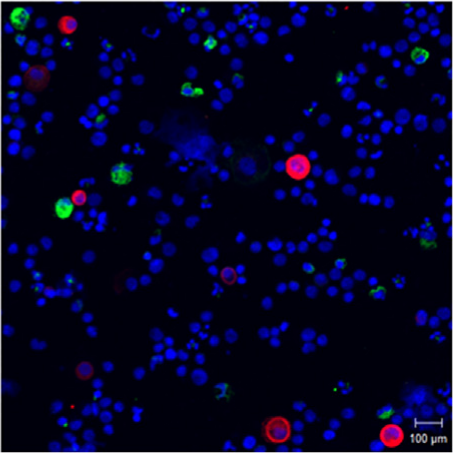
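Scattered among them are a few larger round cells outlined by a bright red ring. Separately, a number of smaller cells carry a patchy, irregular green signal. The red-ringed cells and the green cells are largely distinct from one another, and most of the cells show only blue nuclei.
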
